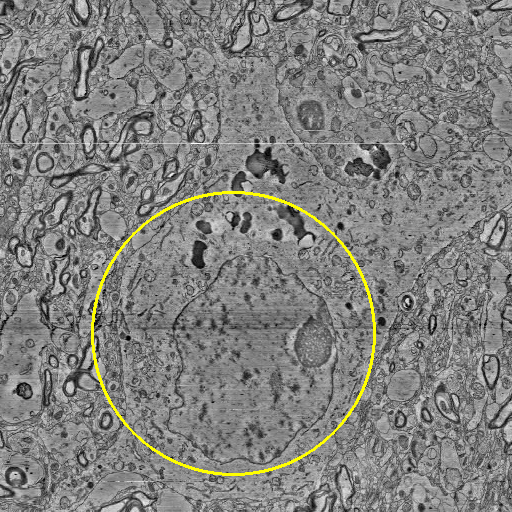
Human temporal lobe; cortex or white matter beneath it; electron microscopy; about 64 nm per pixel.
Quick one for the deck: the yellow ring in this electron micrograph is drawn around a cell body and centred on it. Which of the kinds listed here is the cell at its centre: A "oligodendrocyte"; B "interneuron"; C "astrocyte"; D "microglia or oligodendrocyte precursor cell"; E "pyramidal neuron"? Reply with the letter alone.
E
